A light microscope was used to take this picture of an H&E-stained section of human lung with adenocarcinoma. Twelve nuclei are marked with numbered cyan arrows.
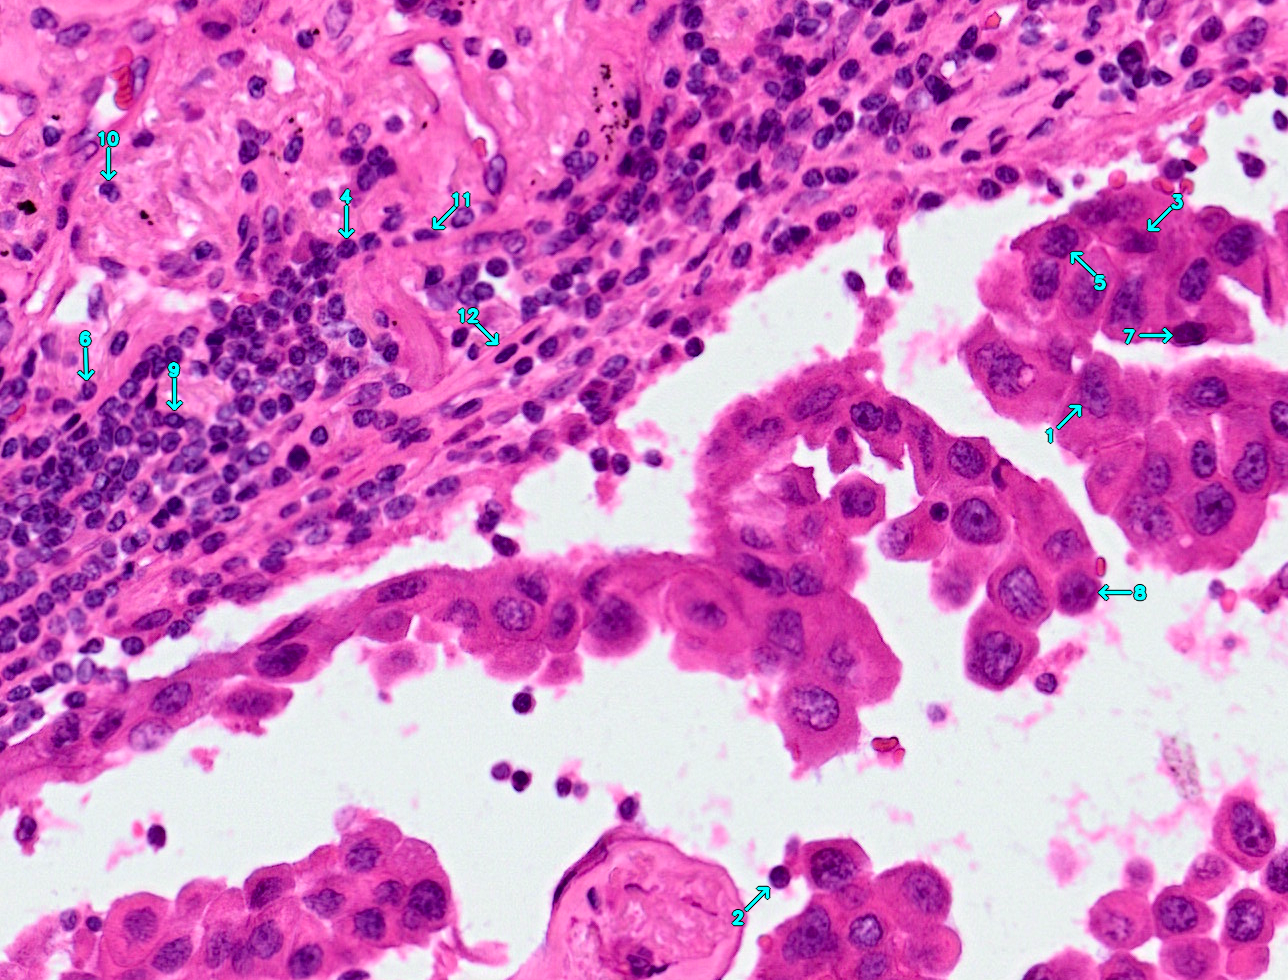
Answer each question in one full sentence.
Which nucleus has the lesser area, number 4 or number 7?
With nucleus 7 about 2 times its size, nucleus 4 is the smaller of the two.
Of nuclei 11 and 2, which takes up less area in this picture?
Number 11 is smaller, since number 2 takes up about 1.5 times as much area.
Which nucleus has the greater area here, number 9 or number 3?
Of the two, number 3 is bigger and takes up about 2.5 times the area of number 9.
